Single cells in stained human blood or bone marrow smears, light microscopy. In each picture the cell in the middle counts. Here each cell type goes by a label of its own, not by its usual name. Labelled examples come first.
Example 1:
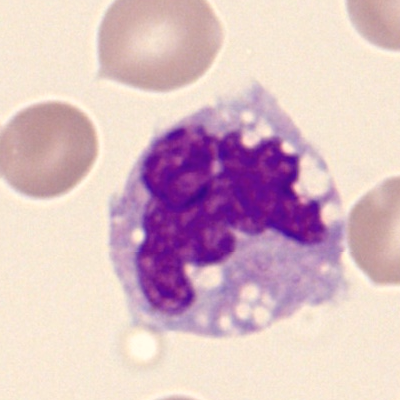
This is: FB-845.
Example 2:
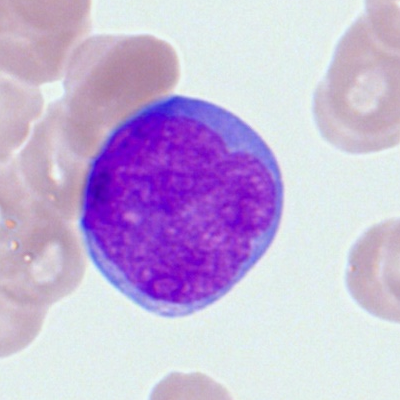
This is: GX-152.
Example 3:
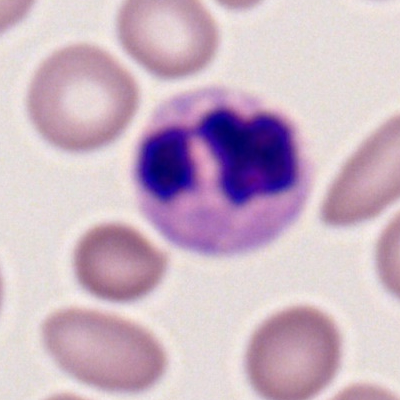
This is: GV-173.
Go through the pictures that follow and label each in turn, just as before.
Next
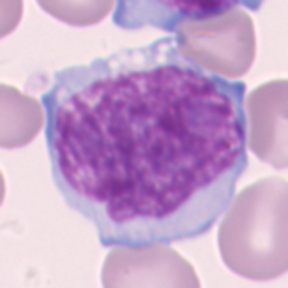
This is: GX-152.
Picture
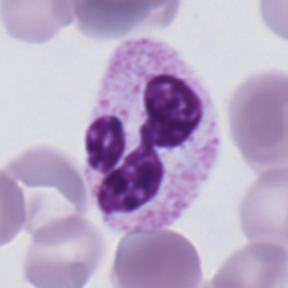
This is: GV-173.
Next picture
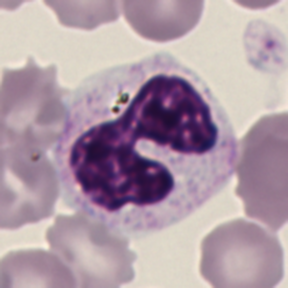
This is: GV-173.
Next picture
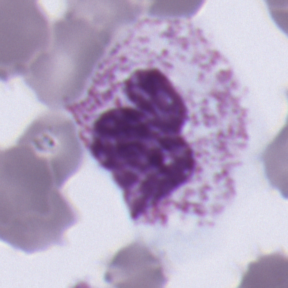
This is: GV-173.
